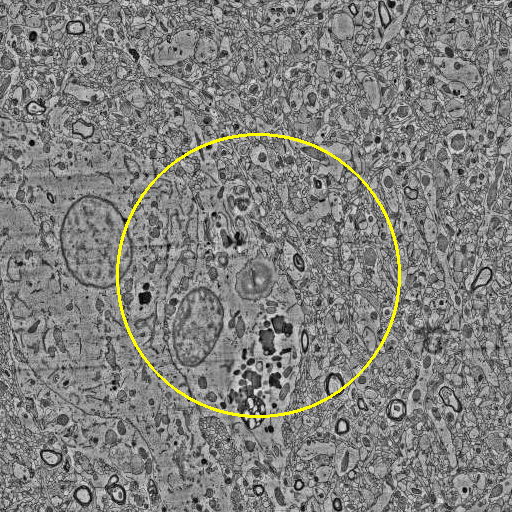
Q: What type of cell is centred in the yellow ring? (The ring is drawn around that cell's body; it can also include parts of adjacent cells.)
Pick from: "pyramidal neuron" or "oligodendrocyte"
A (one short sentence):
The yellow ring is centred on an oligodendrocyte.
